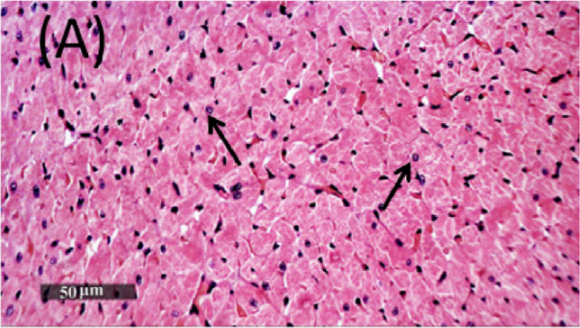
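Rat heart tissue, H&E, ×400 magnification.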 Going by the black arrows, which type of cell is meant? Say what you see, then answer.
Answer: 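Branched cardiomyocytes. Densely packed pink muscle fibres with centrally placed oval nuclei. Fibres lie closely side by side with narrow interstitial spaces.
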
